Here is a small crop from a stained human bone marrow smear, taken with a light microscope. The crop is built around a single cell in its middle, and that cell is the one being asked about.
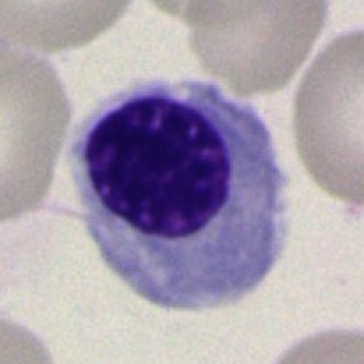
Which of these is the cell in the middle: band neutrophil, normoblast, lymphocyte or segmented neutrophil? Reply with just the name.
normoblast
